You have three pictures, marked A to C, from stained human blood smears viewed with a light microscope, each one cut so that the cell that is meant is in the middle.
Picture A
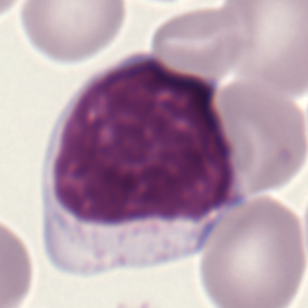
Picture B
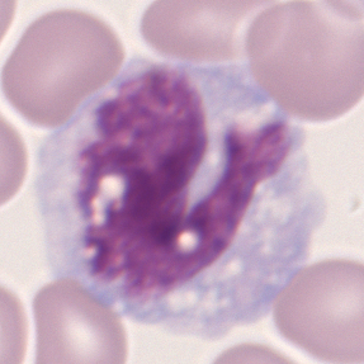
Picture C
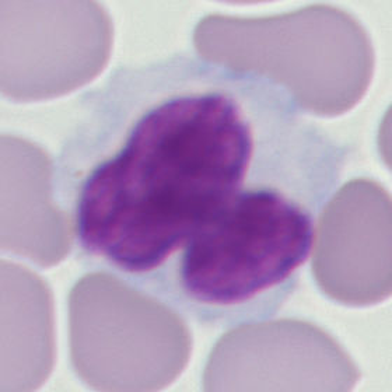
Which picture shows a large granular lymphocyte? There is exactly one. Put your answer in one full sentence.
The cell in picture A is the large granular lymphocyte.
